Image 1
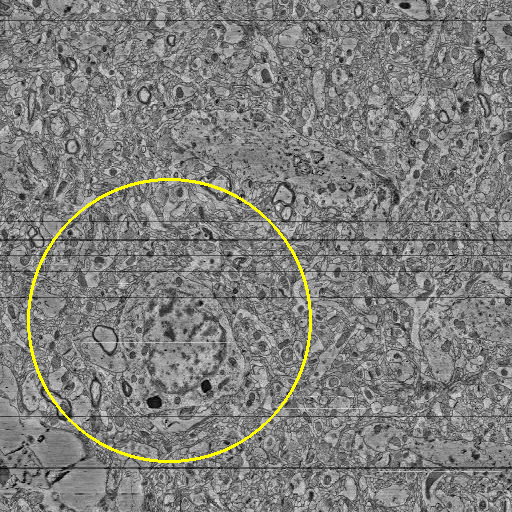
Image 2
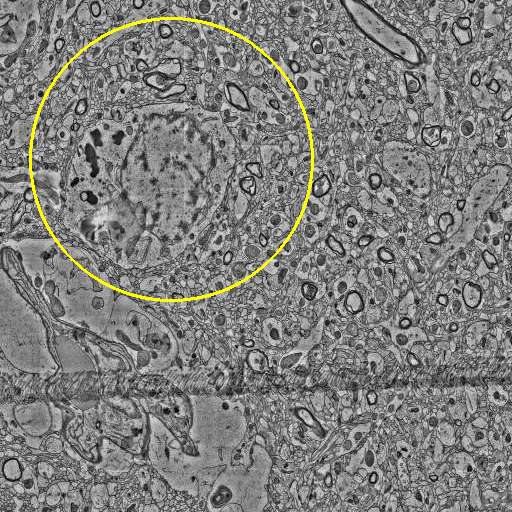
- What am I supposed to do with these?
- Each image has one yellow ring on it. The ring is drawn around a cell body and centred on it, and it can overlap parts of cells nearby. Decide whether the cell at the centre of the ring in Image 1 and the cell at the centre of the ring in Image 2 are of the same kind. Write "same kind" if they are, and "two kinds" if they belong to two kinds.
same kind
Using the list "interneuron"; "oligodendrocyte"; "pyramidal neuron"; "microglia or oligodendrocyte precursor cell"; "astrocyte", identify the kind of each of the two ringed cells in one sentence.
Each of the two cells is an interneuron.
